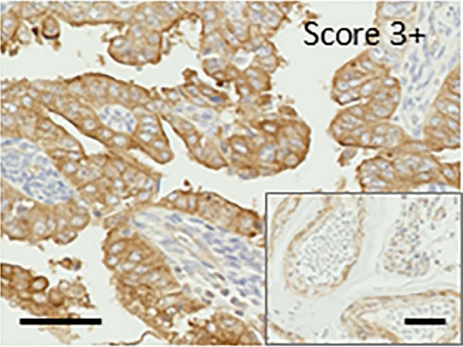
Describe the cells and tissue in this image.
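Papillary and gland-like fronds of tumor cells project into open spaces, each frond covered by crowded epithelial cells with enlarged oval pale-blue nuclei. Thin cores of stroma with elongated spindle-shaped nuclei run through the fronds and are largely unstained blue. The tumor staining is much darker than the thin brown lining of the small vessels seen in the inset frame at the lower right, where flat endothelial cells surround lumens containing blood cells.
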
